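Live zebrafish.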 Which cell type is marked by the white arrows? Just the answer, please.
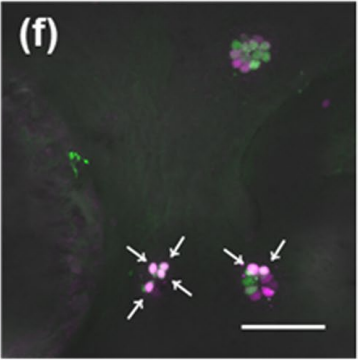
hair cells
